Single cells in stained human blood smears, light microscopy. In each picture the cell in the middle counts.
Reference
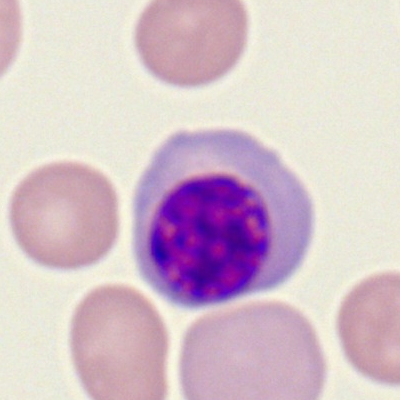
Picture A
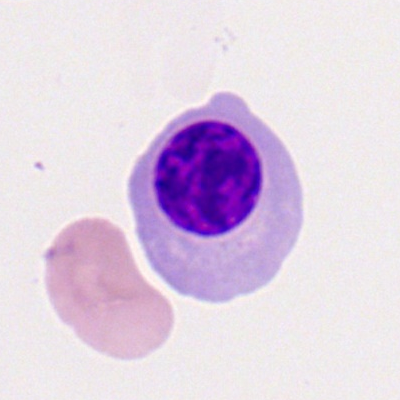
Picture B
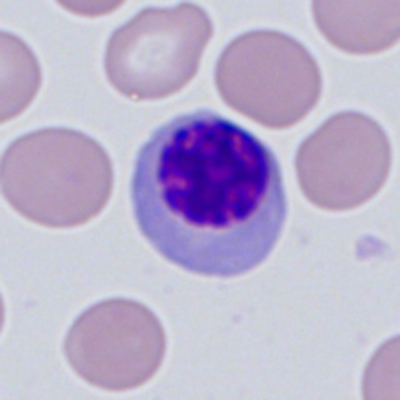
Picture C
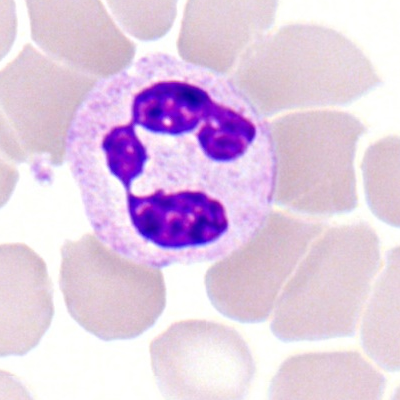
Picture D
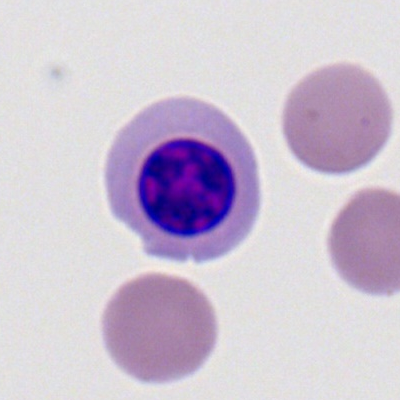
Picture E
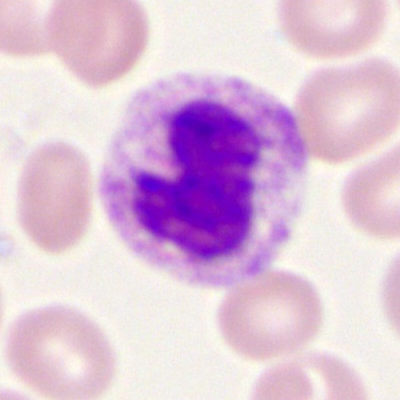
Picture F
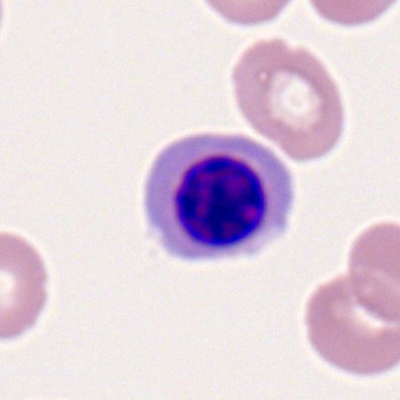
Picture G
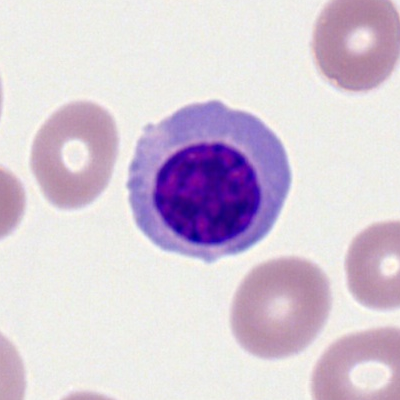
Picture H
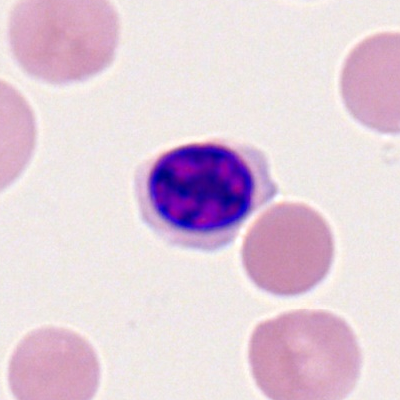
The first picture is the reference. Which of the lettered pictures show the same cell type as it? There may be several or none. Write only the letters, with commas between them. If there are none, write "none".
A, B, D, F, G, H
